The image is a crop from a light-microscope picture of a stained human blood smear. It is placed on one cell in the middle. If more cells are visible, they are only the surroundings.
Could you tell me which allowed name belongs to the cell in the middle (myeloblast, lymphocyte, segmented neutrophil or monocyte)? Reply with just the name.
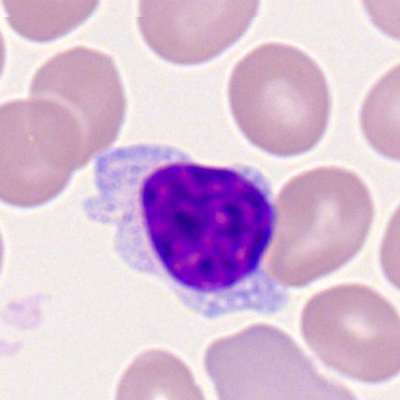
lymphocyte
